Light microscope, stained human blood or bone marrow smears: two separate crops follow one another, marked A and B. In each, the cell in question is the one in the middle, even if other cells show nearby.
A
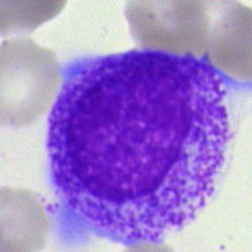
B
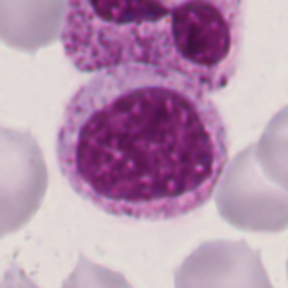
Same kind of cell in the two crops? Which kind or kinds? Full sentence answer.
Yes, the central cells in both crops are myelocytes.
